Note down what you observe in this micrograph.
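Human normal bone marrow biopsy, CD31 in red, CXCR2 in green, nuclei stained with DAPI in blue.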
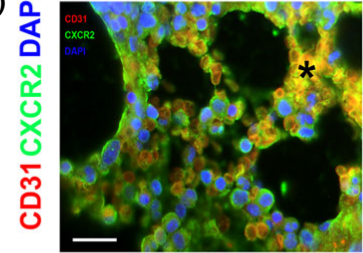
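The cells pack tightly in cords and sheets between large, dark, rounded empty spaces. Many cells show both red and green fluorescence, so their outlines and cytoplasm look orange to yellow, while other areas glow mainly green.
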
